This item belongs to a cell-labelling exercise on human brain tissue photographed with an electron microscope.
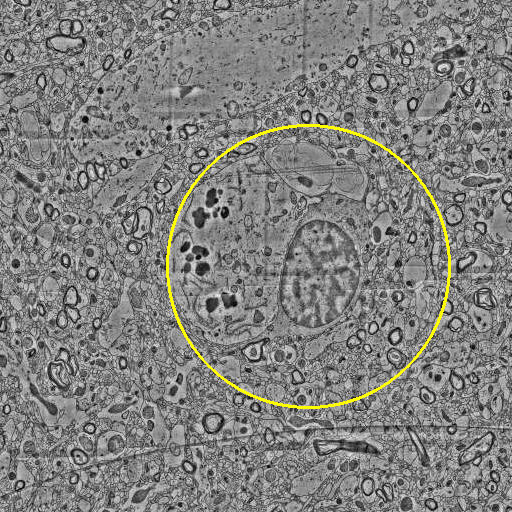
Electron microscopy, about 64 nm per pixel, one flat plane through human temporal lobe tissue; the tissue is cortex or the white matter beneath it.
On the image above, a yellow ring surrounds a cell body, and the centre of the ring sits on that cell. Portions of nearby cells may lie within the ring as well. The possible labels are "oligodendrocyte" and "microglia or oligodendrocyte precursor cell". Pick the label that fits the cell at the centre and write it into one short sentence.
This cell should be labelled as an oligodendrocyte.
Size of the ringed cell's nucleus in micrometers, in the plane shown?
The nucleus appears roughly 7 by 5 micrometres in this plane.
